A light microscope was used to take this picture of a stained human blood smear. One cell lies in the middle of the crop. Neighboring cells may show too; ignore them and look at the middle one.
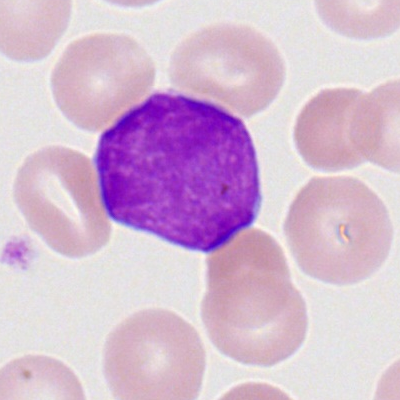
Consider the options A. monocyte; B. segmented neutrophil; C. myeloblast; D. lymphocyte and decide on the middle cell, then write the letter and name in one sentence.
The correct choice is option C, which identifies the middle cell as a myeloblast.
